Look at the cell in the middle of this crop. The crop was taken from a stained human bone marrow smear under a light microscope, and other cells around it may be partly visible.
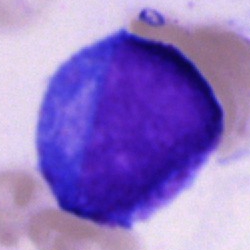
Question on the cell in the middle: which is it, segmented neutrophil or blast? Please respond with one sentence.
In the middle of this smear crop, the cell is a blast.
